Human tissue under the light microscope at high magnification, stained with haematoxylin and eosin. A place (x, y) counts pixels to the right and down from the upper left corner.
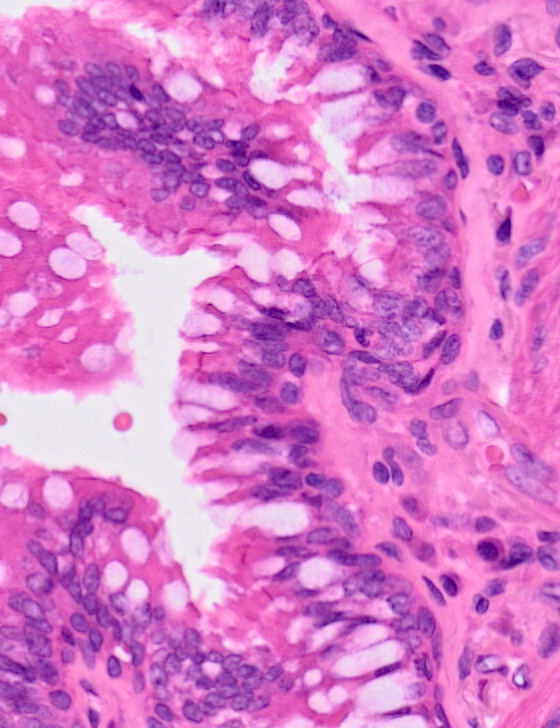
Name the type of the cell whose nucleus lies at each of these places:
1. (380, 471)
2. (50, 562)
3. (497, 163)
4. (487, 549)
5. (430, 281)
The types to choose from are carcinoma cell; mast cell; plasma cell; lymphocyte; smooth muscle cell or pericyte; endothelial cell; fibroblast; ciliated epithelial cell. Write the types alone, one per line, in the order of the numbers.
lymphocyte
ciliated epithelial cell
mast cell
plasma cell
ciliated epithelial cell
